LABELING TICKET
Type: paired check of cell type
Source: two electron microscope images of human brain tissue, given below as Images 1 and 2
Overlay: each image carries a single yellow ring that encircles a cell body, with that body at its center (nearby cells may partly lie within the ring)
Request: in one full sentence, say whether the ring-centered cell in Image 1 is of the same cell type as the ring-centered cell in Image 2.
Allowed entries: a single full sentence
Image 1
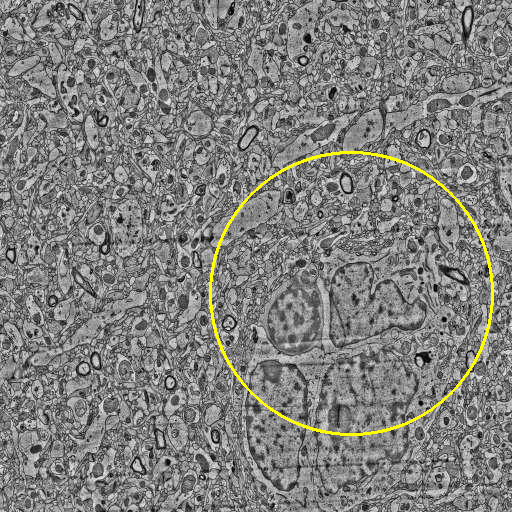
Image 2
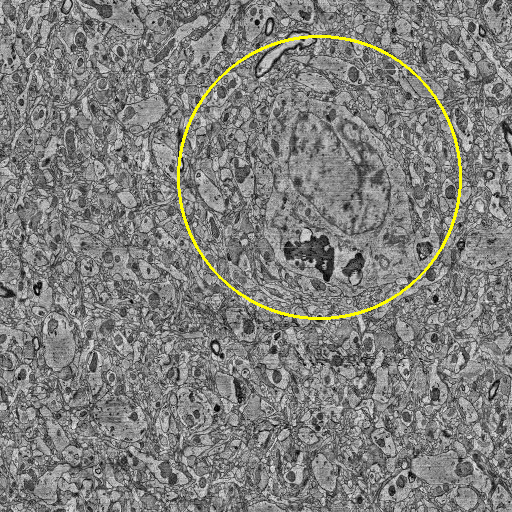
No, the cells centered in the rings of Image 1 and Image 2 are of two types.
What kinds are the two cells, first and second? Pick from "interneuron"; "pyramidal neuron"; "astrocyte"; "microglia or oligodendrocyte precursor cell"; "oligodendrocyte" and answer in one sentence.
The second picture holds an interneuron in its ring, and the first holds a microglial cell or oligodendrocyte precursor cell.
